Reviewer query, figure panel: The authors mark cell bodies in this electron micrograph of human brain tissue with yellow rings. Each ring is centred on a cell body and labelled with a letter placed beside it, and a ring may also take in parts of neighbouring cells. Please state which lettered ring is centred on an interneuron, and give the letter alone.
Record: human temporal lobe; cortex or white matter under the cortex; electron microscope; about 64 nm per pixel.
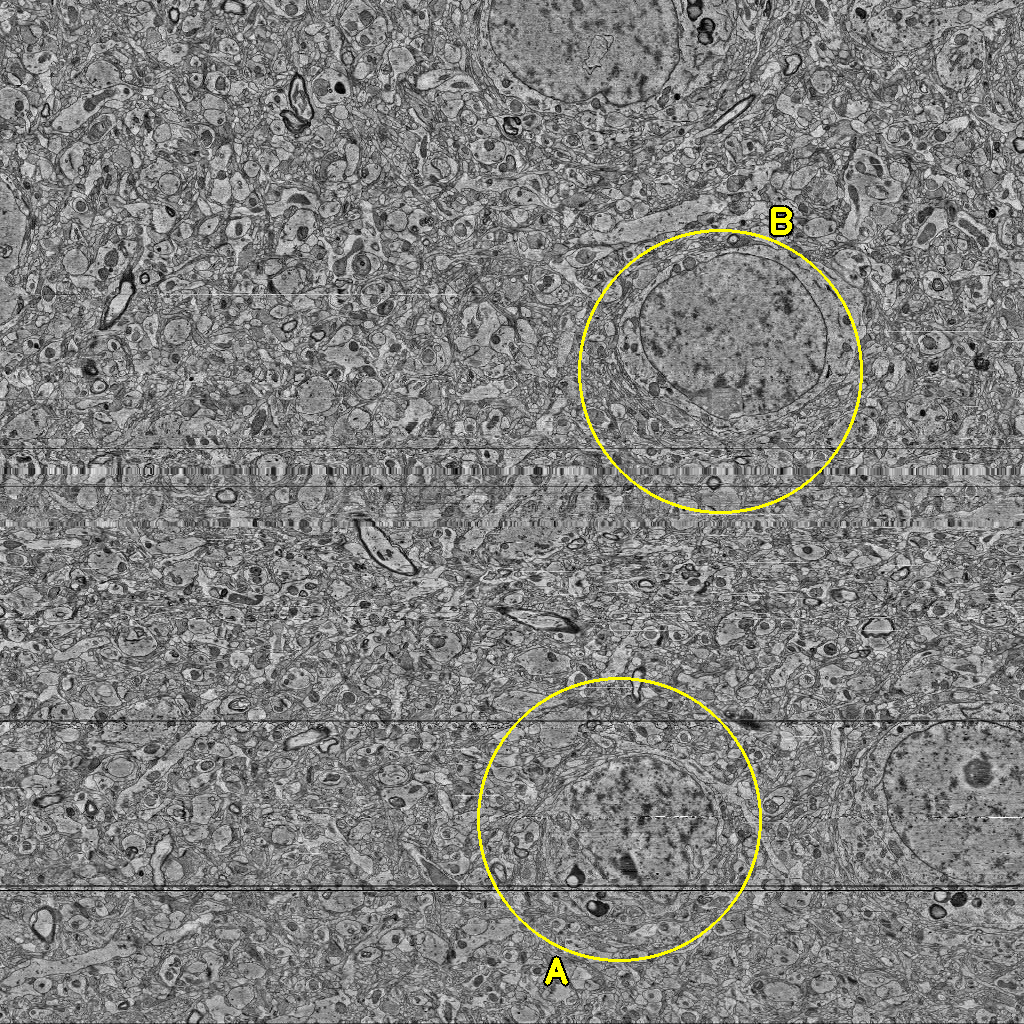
A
